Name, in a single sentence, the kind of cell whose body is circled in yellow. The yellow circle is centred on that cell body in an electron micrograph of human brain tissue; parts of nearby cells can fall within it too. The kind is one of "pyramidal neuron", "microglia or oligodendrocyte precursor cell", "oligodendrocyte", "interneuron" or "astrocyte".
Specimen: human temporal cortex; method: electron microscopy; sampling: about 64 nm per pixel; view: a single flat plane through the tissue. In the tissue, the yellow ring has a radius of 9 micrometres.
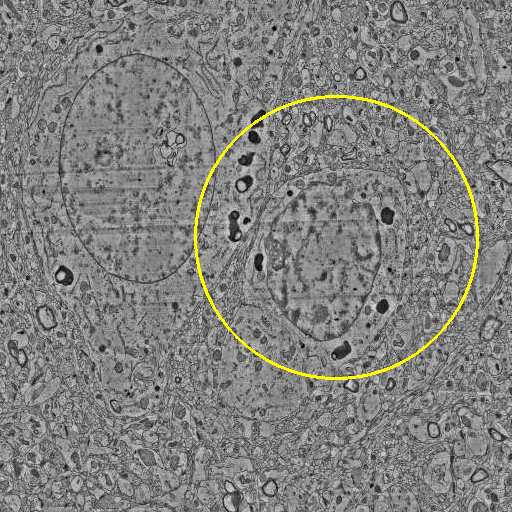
The circled cell body belongs to an interneuron.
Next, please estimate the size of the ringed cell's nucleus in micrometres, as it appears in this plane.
In this plane, about 10 micrometres in length and 8 in width.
